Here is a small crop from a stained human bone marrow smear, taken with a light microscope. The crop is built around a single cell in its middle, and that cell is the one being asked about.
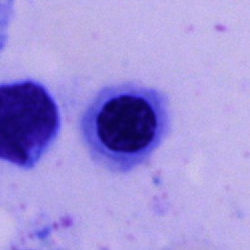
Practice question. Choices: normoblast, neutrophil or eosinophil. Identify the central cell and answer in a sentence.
Standing at the centre of this crop is a normoblast.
